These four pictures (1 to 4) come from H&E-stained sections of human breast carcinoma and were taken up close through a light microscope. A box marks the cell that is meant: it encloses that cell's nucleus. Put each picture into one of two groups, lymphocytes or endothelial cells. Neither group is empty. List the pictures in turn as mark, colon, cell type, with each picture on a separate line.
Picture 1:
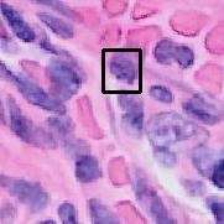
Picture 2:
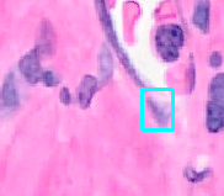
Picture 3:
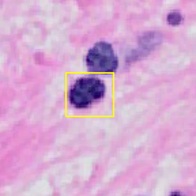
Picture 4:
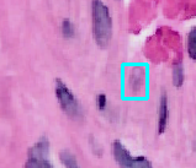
1: endothelial cell
2: endothelial cell
3: lymphocyte
4: endothelial cell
